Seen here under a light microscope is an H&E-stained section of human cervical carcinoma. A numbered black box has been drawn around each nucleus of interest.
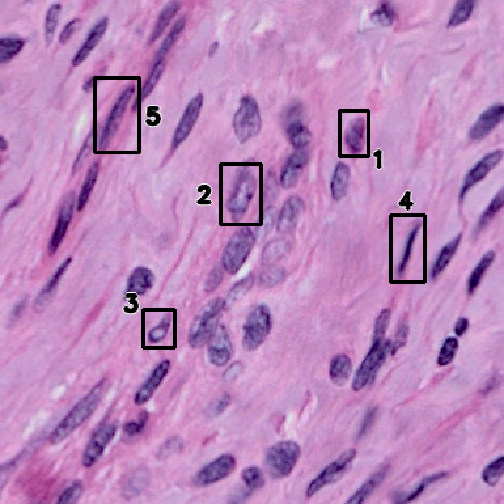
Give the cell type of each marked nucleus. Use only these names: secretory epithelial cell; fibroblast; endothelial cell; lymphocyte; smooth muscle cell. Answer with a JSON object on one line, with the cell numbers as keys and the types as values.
{"1": "smooth muscle cell", "2": "smooth muscle cell", "3": "smooth muscle cell", "4": "fibroblast", "5": "endothelial cell"}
